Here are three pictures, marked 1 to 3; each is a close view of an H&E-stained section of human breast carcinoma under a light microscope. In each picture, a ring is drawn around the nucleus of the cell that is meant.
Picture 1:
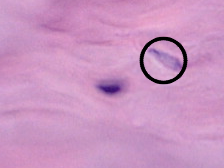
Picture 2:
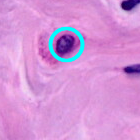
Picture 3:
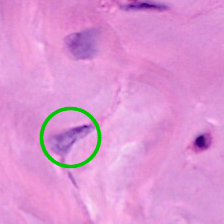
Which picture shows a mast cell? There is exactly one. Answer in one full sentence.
Picture 2 shows the mast cell.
